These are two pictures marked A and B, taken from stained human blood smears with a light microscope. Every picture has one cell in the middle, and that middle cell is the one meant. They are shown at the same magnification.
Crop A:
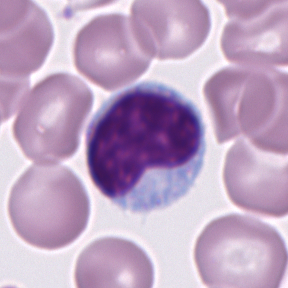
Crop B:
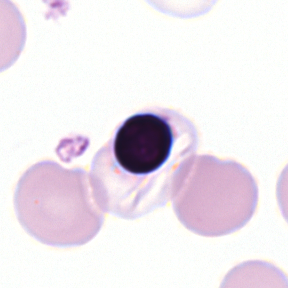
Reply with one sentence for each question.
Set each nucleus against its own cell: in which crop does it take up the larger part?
Of the two, the nucleus in crop A makes up the greater part of its cell.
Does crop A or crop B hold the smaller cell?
It is the cell in crop B; the cell in crop A has about 2 times its area.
